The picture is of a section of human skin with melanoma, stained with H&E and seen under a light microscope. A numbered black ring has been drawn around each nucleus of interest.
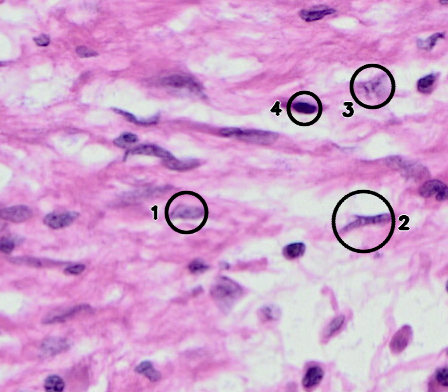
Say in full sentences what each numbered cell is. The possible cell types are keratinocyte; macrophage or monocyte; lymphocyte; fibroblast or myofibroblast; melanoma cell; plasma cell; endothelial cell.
Cells 1, 2 and 3 are fibroblasts or myofibroblasts. Cell 4 is a plasma cell.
